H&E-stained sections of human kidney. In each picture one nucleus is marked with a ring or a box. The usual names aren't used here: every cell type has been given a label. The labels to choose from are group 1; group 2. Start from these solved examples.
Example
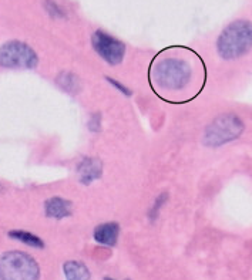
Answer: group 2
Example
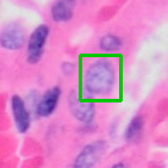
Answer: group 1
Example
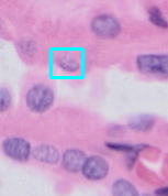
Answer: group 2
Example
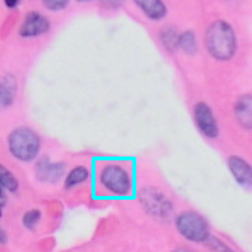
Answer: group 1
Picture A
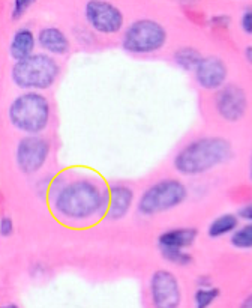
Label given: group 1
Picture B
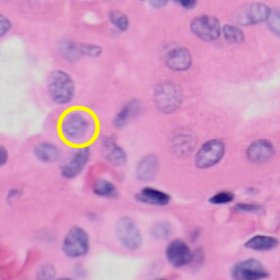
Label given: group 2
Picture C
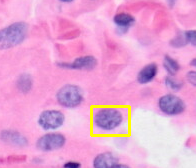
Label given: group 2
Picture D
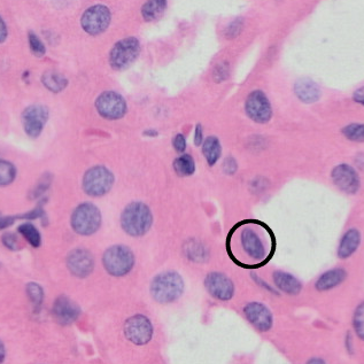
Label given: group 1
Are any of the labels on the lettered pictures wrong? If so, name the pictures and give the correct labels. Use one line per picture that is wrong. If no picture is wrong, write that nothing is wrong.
D: group 2, not group 1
